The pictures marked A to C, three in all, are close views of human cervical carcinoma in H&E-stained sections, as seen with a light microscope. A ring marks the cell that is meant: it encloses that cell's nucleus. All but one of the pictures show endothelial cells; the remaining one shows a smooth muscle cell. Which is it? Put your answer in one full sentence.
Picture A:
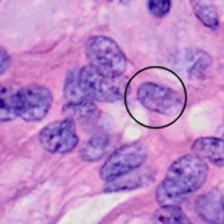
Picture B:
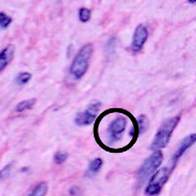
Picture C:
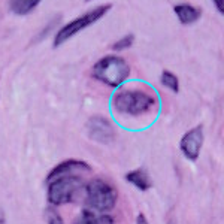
The picture with the smooth muscle cell is B.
